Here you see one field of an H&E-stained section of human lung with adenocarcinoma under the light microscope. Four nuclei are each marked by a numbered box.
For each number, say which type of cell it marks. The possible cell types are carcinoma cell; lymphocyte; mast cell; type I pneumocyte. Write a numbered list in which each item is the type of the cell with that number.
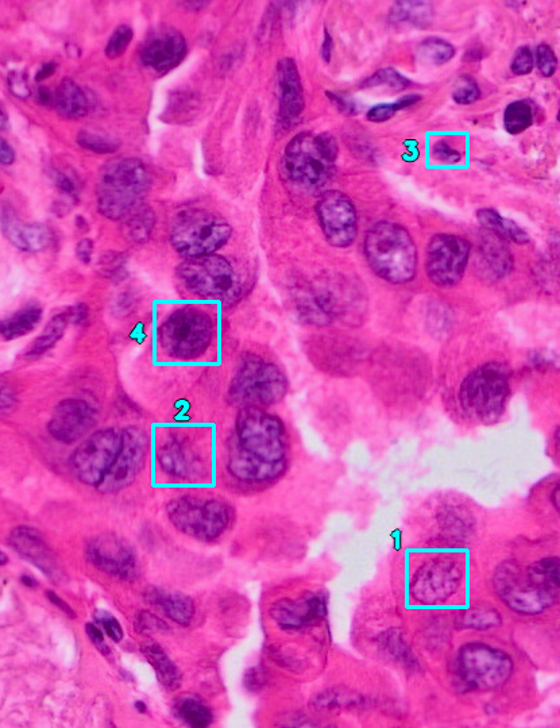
1. carcinoma cell
2. carcinoma cell
3. lymphocyte
4. carcinoma cell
